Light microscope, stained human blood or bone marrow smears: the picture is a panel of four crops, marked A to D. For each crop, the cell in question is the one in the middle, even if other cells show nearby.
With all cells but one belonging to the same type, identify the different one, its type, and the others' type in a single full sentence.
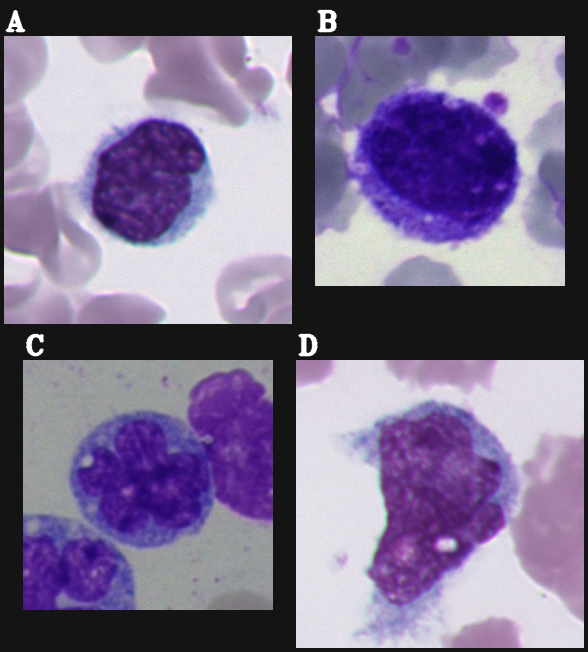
A different cell type, a promyelocyte, occupies crop B; the other crops show monocytes.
